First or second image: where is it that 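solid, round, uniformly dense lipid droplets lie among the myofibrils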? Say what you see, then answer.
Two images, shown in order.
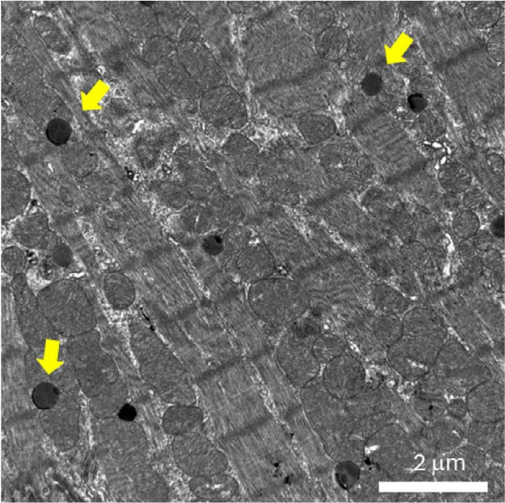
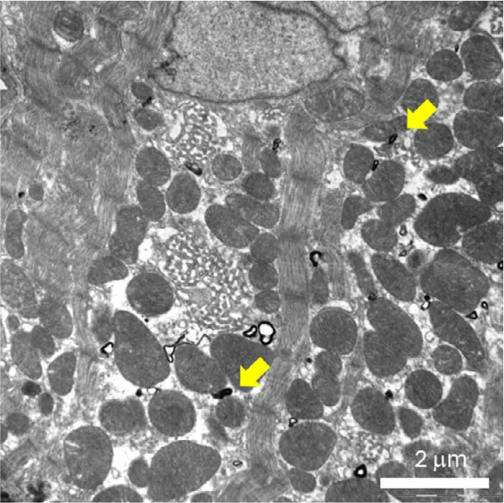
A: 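Second image: the arrowed bodies are thin dark curled or ring-shaped membrane profiles, not solid droplets. First image: several solid, round, evenly dark droplets sit between mitochondria and myofibrils. So: the first image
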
